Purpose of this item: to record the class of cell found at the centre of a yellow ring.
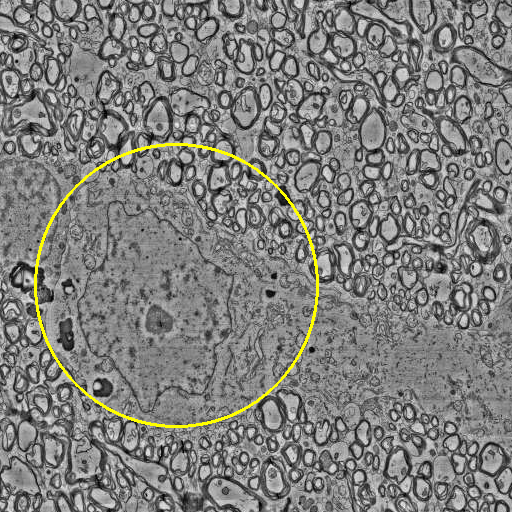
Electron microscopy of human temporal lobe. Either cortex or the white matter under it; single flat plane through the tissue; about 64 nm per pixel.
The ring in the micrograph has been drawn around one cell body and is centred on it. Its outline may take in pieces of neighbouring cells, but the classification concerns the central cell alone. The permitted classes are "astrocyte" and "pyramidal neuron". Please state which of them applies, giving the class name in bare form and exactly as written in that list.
pyramidal neuron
